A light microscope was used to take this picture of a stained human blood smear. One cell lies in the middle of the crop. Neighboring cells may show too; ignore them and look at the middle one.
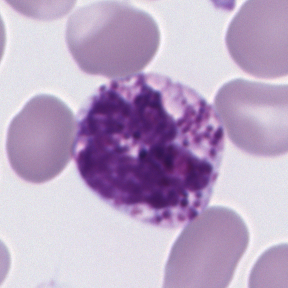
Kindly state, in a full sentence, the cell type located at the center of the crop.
At the crop's centre, the cell is a basophil.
